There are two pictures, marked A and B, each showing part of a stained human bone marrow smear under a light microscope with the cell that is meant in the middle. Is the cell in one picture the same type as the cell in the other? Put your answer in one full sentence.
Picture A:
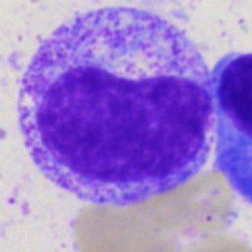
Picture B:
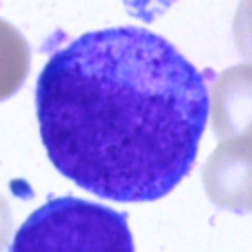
No. Picture A shows a myelocyte, but picture B shows a promyelocyte.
